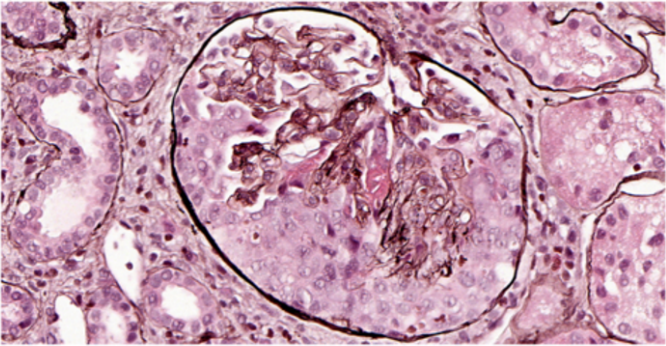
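A glomerulus is shown with a cellular crescent filling much of Bowman's space. Below and beside the tuft, a crowded layer of pale pink cells with round purple nuclei occupies Bowman's space without encircling the whole tuft. Tubules with cuboidal epithelium surround the glomerulus.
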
